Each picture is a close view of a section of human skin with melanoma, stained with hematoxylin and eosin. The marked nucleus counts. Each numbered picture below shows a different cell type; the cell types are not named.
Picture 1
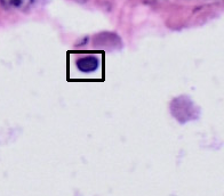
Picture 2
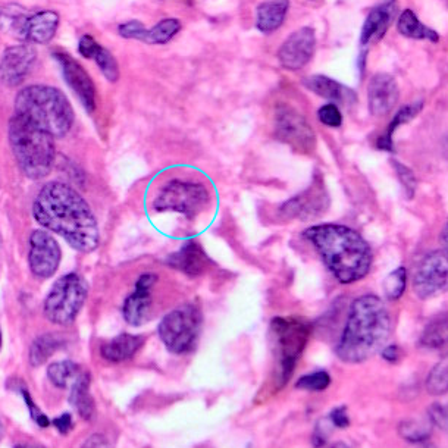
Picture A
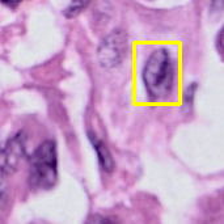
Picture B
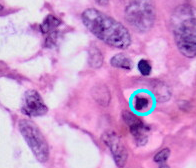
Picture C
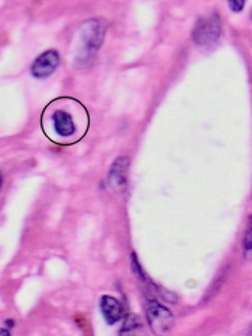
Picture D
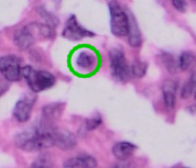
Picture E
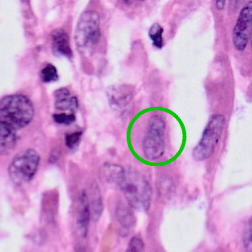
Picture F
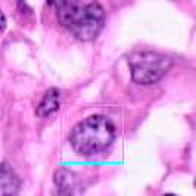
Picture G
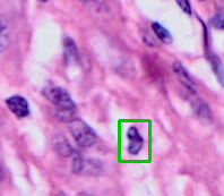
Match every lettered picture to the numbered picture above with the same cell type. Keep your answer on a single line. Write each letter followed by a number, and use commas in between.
A 2, B 1, C 1, D 2, E 2, F 2, G 1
